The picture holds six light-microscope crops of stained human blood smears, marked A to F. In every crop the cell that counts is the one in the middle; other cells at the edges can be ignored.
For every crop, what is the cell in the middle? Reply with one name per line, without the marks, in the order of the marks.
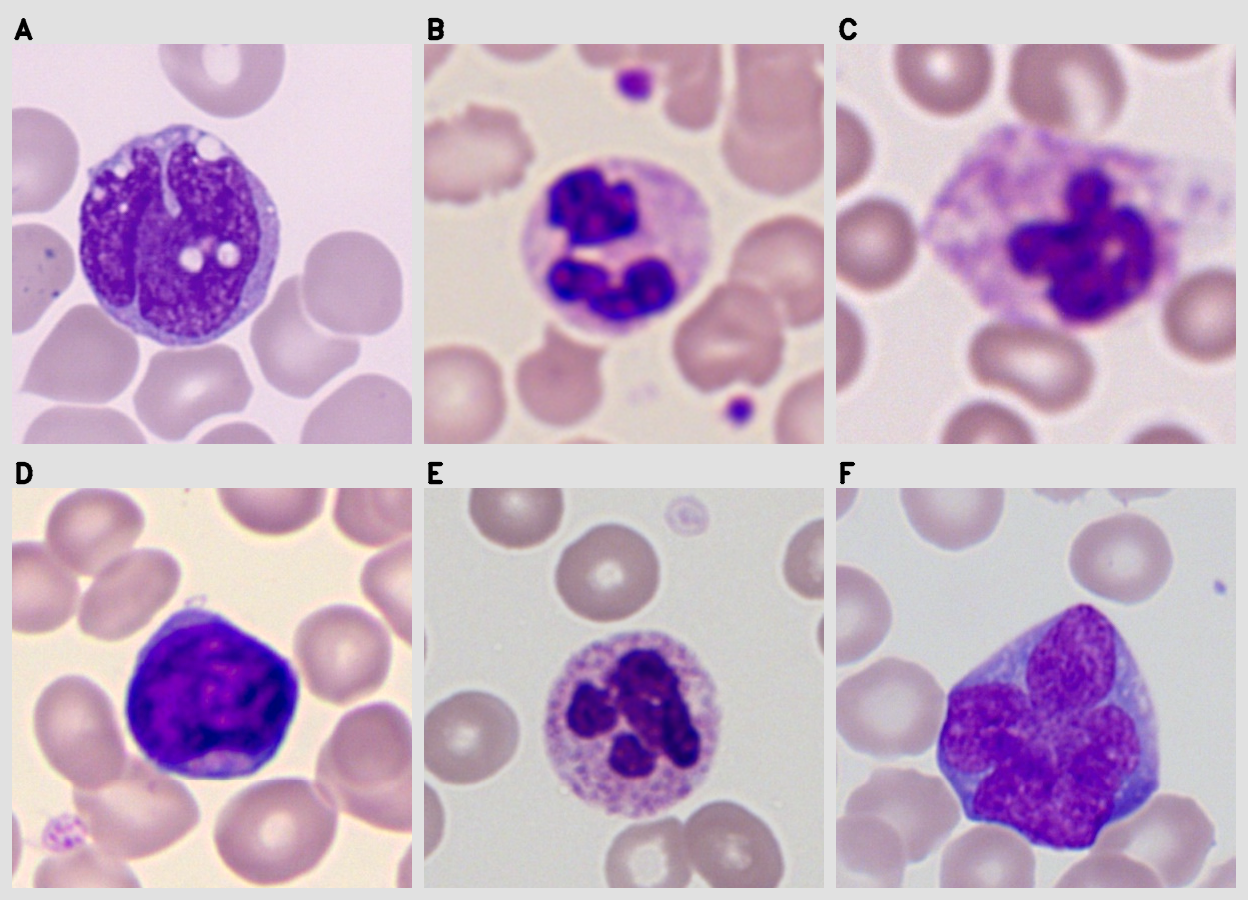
monocyte
segmented neutrophil
segmented neutrophil
myeloblast
segmented neutrophil
myeloblast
